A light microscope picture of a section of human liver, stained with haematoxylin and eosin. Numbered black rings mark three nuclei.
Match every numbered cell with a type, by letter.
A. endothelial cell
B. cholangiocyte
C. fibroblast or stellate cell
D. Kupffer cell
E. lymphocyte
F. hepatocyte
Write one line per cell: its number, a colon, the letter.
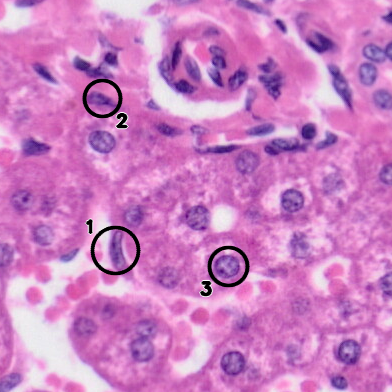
1: D
2: C
3: F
